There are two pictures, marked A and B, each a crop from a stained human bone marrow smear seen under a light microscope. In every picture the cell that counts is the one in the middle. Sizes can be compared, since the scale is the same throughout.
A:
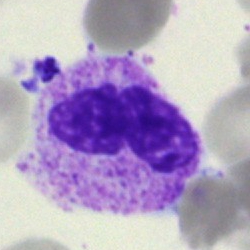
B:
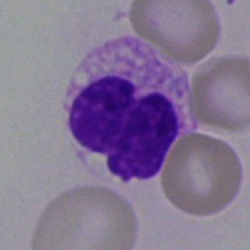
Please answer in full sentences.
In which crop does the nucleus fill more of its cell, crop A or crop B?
Of the two, the nucleus in crop B makes up the greater part of its cell.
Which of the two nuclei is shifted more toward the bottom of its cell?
In crop B the nucleus is shifted more toward the bottom.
